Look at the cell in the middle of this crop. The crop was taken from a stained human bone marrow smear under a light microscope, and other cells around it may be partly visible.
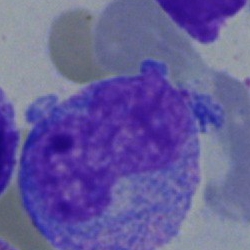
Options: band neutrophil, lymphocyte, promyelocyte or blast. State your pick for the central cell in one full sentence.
By type, the central cell of the crop is a promyelocyte.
